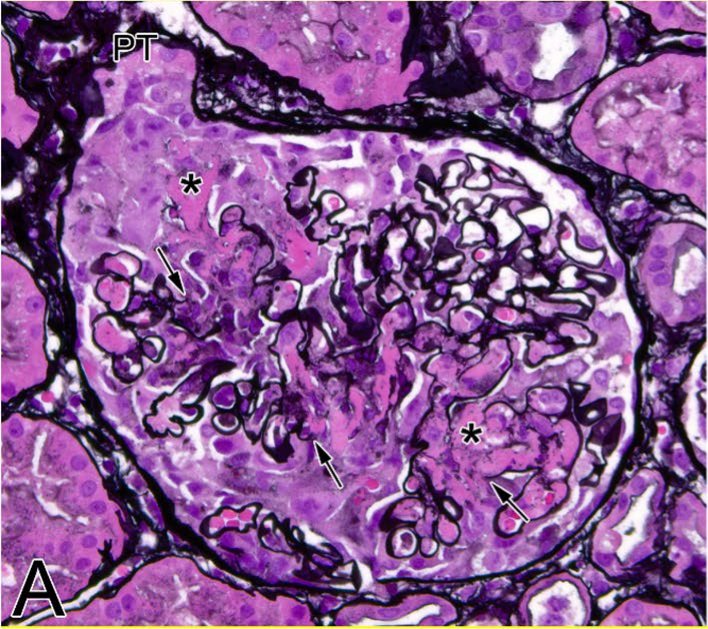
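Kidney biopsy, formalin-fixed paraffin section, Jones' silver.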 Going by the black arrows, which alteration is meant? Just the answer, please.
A: Ruptured glomerular capillary loop basement membranes.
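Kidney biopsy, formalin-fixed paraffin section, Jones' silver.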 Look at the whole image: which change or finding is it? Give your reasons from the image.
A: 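Layered cells fill Bowman's space toward the upper left. Bowman's space is no longer an open clear rim in that region. On this evidence: early cellular crescent formation.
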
